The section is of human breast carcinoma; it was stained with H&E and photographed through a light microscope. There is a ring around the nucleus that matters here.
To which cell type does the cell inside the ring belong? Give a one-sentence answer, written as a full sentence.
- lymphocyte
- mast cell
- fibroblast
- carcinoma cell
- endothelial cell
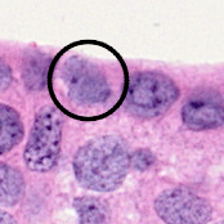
In the tissue at hand, the cell inside the ring is a carcinoma cell.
